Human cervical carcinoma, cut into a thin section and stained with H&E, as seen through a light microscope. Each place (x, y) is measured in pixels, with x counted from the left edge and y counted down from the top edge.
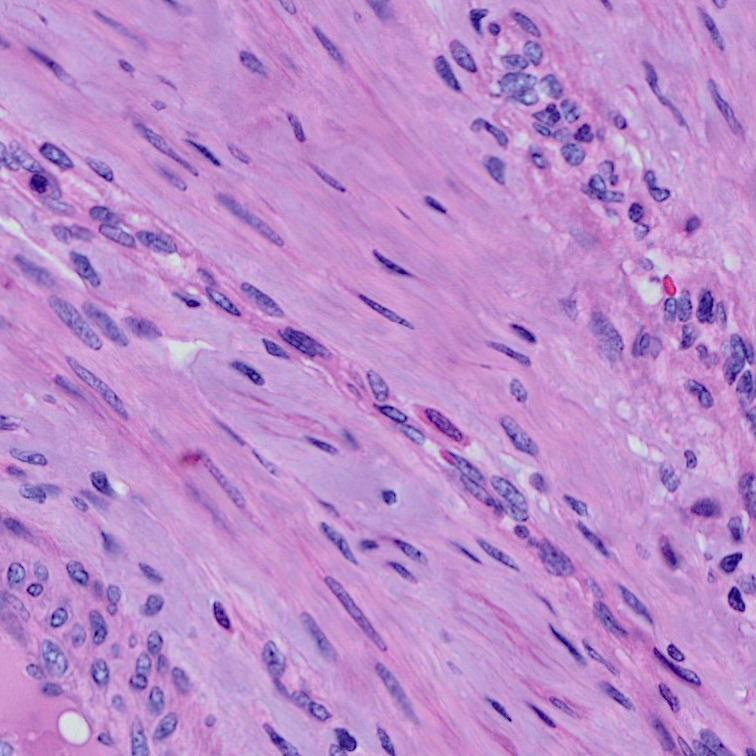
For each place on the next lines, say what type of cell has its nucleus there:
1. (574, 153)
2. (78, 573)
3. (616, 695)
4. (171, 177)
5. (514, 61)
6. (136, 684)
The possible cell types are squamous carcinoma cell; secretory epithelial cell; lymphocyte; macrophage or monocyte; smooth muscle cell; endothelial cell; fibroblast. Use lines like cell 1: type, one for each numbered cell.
cell 1: endothelial cell
cell 2: smooth muscle cell
cell 3: fibroblast
cell 4: fibroblast
cell 5: endothelial cell
cell 6: smooth muscle cell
